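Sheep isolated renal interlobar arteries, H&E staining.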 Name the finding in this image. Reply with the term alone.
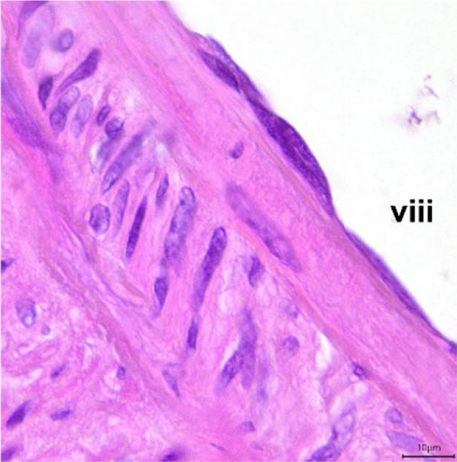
thickened sub-endothelium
